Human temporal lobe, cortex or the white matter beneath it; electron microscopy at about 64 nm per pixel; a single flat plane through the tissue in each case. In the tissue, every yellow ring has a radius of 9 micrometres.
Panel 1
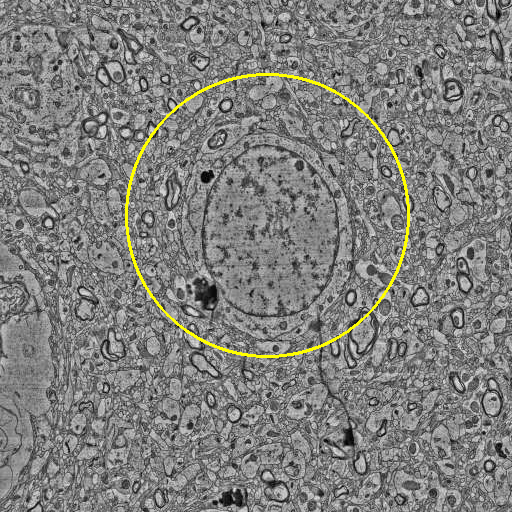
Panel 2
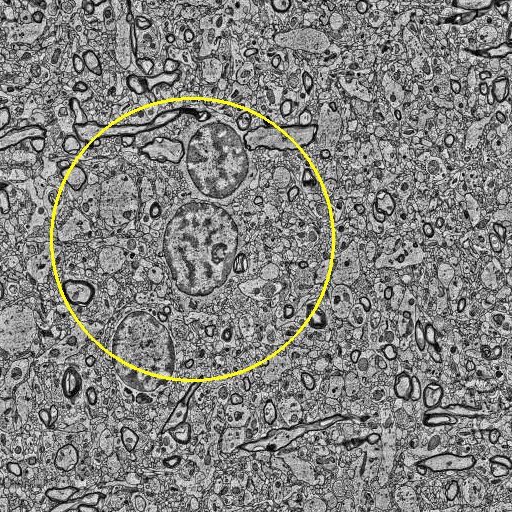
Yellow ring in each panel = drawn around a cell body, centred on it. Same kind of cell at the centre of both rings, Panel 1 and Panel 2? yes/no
no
